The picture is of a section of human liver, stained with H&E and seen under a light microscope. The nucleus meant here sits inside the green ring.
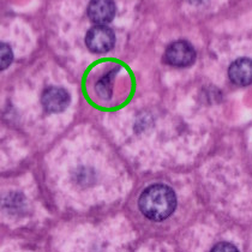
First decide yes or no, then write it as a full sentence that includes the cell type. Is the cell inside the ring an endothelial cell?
Yes, the description of the cell inside the ring as an endothelial cell is accurate.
